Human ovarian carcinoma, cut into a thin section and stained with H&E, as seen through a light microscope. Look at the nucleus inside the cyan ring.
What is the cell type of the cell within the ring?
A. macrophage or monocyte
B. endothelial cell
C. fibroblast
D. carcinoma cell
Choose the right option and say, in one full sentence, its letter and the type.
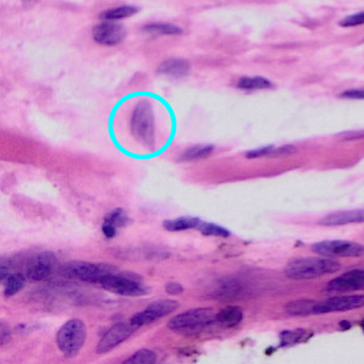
It is as option C has it, the cell within the ring being a fibroblast.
